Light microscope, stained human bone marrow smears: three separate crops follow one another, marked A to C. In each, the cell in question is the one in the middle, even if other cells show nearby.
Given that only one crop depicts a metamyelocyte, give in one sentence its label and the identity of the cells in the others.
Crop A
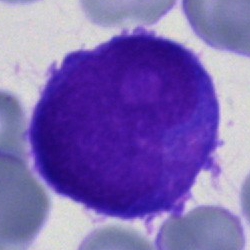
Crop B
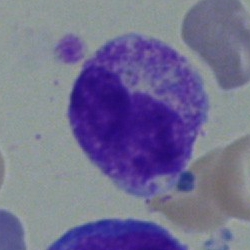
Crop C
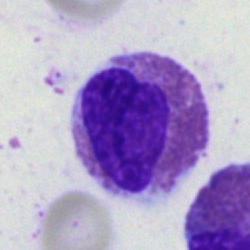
Sorting them out, crop B is a metamyelocyte, while crop A is a blast and crop C is an eosinophil.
